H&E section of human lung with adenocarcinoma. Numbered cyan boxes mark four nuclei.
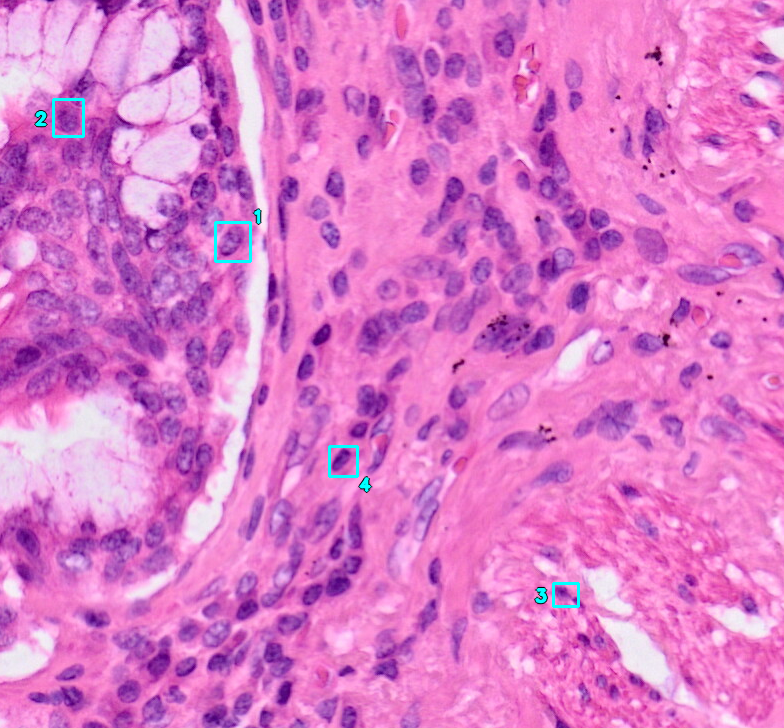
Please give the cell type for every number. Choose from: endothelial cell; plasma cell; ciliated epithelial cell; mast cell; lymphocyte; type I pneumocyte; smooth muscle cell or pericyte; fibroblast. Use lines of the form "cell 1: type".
cell 1: ciliated epithelial cell
cell 2: ciliated epithelial cell
cell 3: smooth muscle cell or pericyte
cell 4: plasma cell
